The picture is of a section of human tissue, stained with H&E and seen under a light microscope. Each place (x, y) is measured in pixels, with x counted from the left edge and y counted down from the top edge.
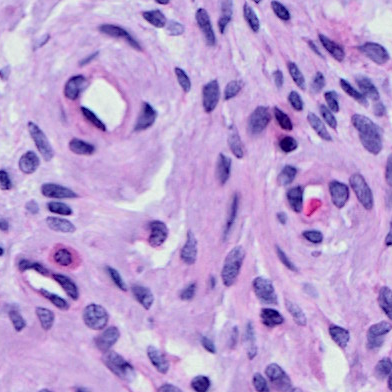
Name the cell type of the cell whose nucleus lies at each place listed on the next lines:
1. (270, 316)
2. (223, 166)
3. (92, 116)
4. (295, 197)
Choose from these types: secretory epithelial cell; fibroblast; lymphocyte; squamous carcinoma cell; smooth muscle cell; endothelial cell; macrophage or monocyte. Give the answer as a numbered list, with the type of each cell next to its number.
1. lymphocyte
2. fibroblast
3. endothelial cell
4. endothelial cell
